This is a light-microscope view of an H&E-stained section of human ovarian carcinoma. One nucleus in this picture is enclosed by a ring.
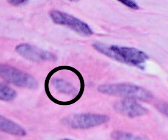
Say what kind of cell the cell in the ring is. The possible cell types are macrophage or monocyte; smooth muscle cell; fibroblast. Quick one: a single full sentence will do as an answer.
In this preparation, the cell in the ring is a smooth muscle cell.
